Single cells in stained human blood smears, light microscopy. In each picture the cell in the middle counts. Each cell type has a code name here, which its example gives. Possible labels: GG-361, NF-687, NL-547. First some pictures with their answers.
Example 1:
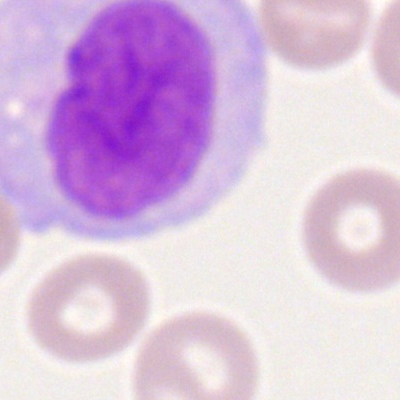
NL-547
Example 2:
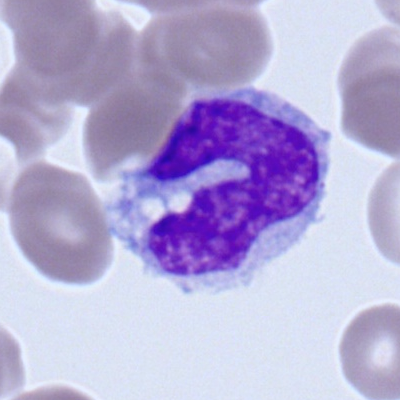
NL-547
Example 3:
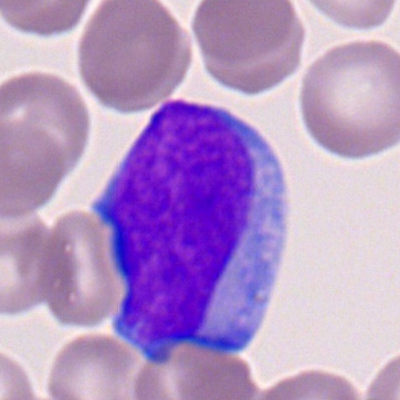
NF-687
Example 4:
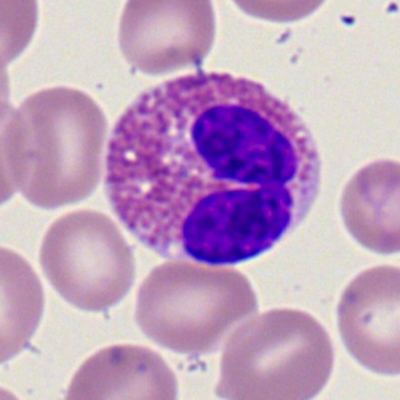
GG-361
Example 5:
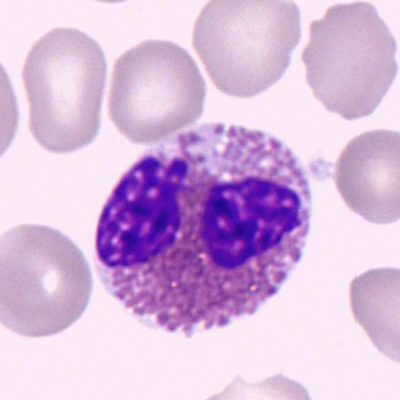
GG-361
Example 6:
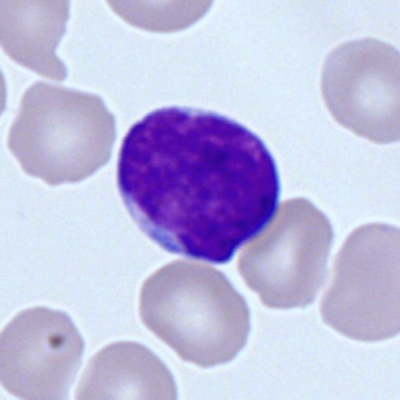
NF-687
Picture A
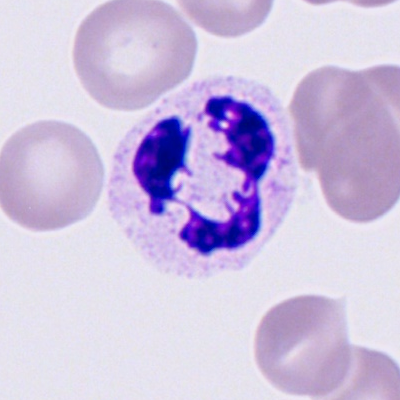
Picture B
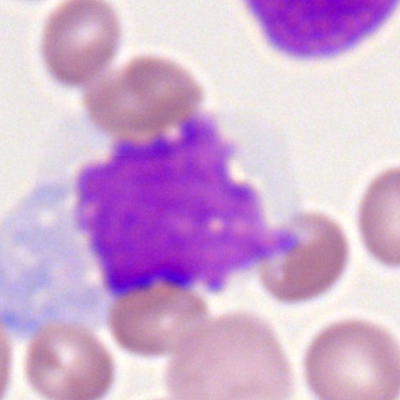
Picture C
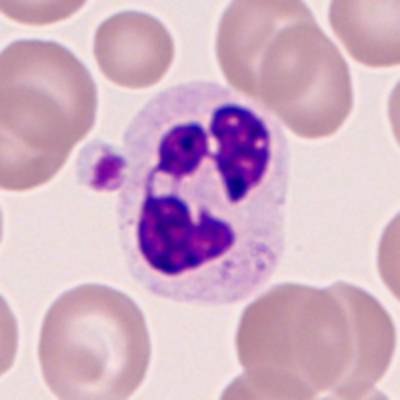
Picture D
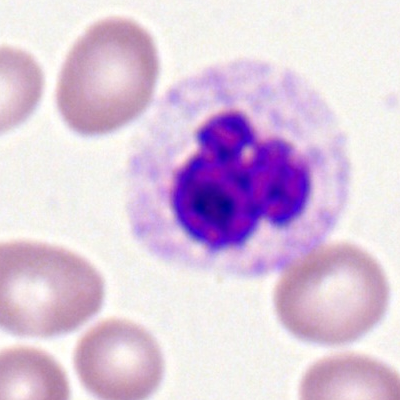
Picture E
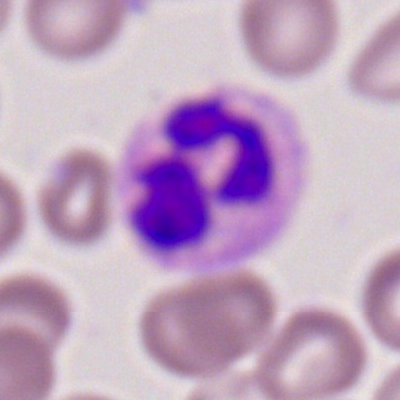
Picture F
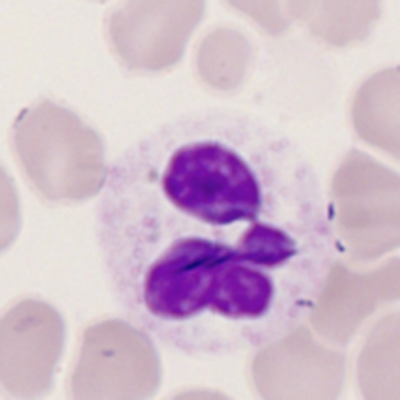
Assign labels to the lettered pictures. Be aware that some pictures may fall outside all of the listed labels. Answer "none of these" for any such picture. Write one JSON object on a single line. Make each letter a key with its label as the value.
{"A": "none of these", "B": "NL-547", "C": "none of these", "D": "none of these", "E": "none of these", "F": "none of these"}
